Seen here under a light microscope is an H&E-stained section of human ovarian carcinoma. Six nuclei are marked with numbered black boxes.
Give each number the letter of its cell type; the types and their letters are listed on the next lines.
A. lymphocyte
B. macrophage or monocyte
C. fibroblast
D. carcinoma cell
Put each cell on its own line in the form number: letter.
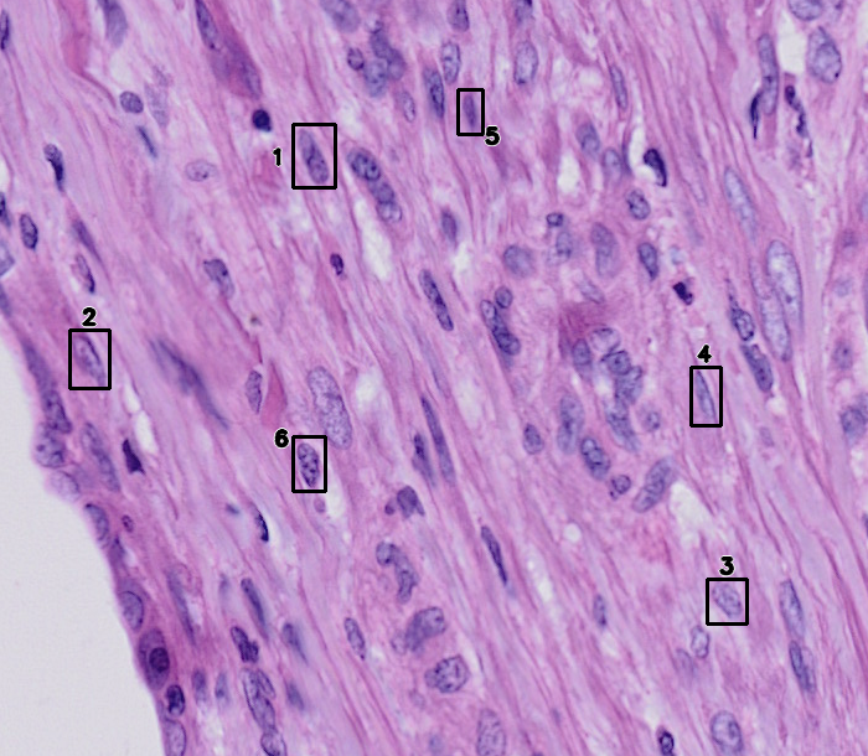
1: B
2: C
3: C
4: C
5: C
6: B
